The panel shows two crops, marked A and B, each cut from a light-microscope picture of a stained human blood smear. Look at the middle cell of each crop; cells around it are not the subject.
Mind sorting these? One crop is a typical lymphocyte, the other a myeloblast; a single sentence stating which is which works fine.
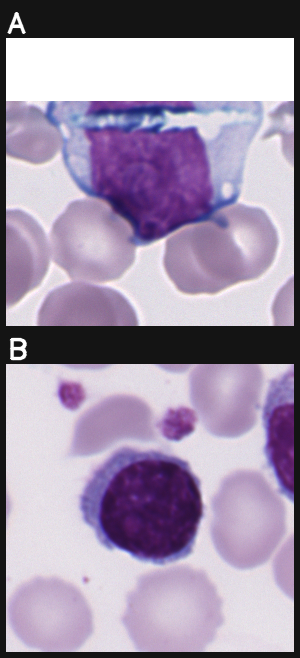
The cell that crop A centres on is a myeloblast, and the cell that crop B centres on is a typical lymphocyte.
